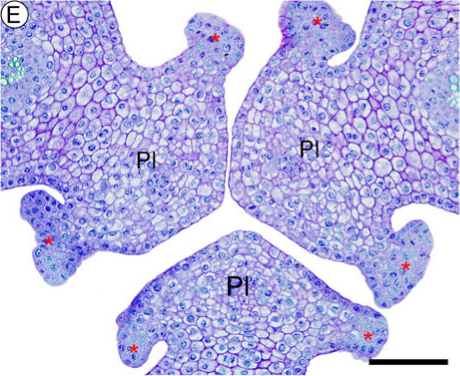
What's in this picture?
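This transverse section shows the centre of the ovary, where three placentae of small, purple-blue stained parenchyma-like cells meet. The cells are polygonal and tightly packed, most with a distinct rounded nucleus. Each placenta ends laterally in two curved, hook-like lobes made of smaller, more densely stained cells. Narrow clefts separate the placentae from one another, while wider spaces open between the lobes.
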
